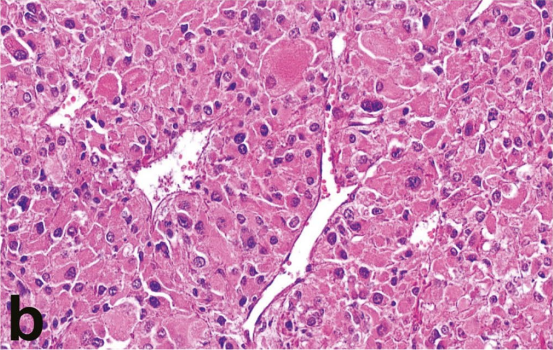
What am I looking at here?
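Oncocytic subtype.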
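These are large tumour cells with plentiful, deeply pink, finely granular cytoplasm, packed in a solid sheet. The cell borders are fairly distinct and the cells are polygonal. Nuclei vary considerably in size and shape, some being markedly enlarged and darker, and several show conspicuous nucleoli. Thin-walled vascular spaces run between the cells.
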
